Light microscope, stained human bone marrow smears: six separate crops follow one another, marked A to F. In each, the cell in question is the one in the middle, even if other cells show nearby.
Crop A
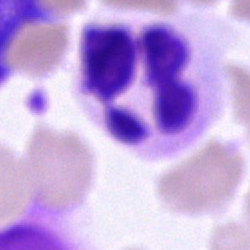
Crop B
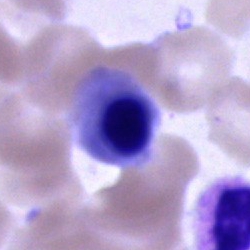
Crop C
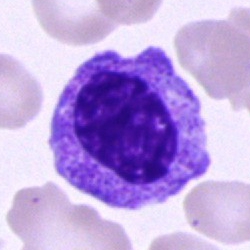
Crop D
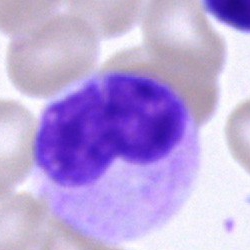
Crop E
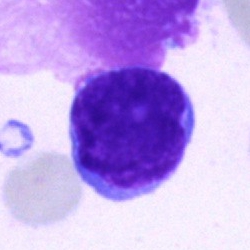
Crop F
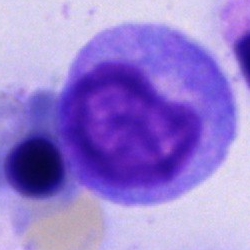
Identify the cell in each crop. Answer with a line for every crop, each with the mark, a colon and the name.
A: segmented neutrophil
B: normoblast
C: myelocyte
D: metamyelocyte
E: blast
F: promyelocyte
